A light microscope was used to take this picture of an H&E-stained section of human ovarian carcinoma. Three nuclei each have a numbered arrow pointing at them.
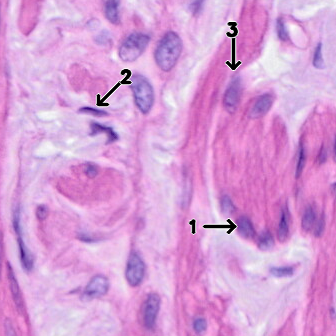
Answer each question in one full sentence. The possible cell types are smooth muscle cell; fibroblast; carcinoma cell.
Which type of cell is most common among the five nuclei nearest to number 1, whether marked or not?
Smooth muscle cells make up most of the five nuclei closest to number 1.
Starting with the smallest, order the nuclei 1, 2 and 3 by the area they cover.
The order from the smallest nucleus to the largest is 2, 1, 3.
